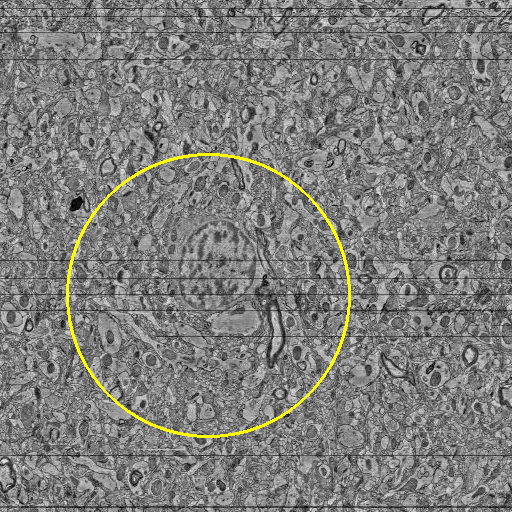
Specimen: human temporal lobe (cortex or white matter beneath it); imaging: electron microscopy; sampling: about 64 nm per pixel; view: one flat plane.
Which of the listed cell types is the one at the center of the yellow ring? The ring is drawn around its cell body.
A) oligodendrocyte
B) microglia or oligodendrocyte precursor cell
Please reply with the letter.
A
